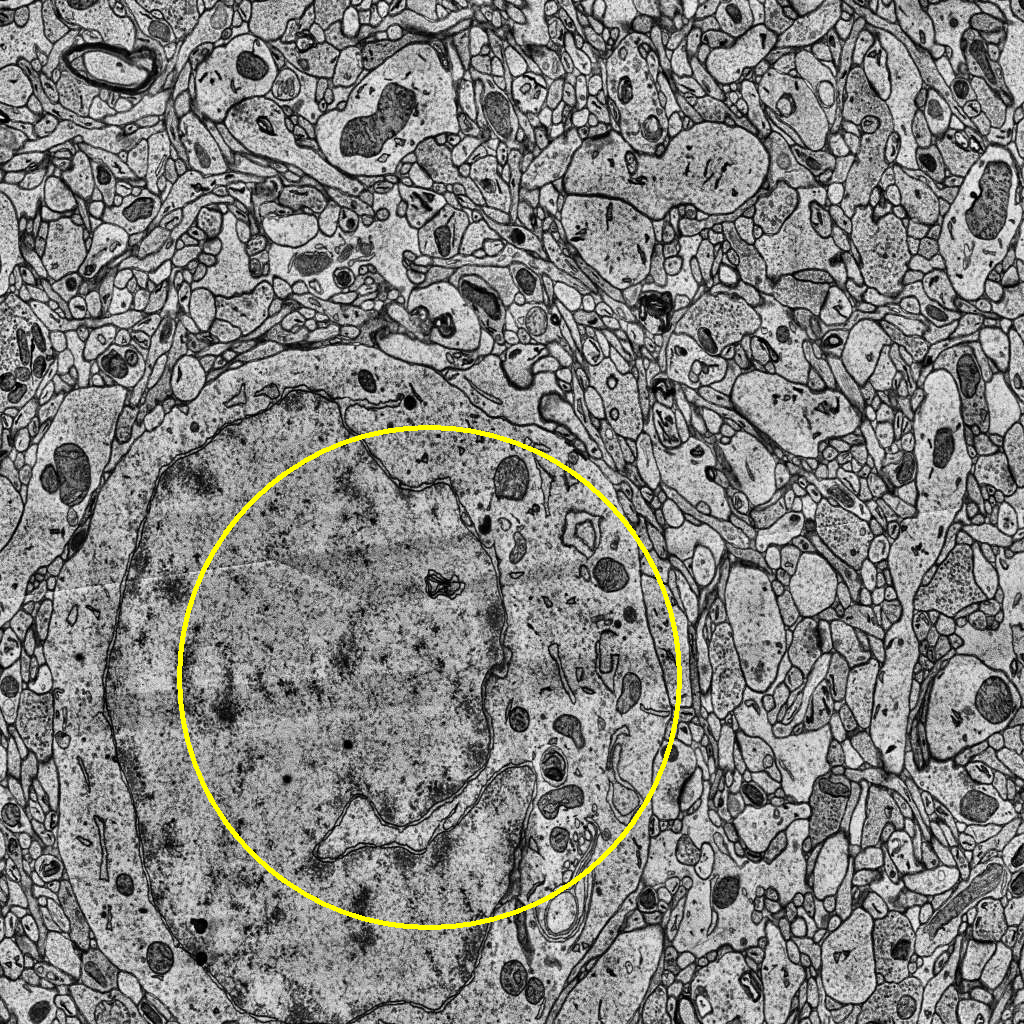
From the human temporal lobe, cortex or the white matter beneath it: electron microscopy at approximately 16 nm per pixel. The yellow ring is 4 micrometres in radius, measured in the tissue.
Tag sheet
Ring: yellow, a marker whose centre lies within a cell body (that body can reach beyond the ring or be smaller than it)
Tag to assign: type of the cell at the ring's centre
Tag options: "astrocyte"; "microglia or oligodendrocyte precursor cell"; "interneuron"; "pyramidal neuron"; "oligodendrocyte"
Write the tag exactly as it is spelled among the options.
interneuron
